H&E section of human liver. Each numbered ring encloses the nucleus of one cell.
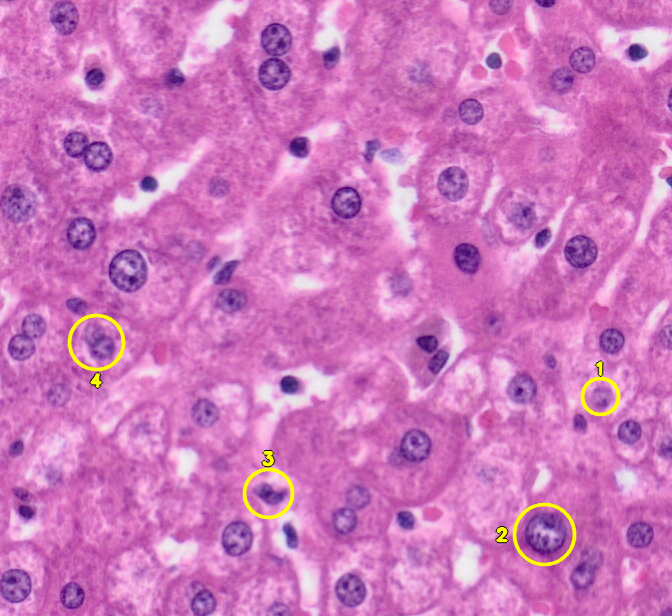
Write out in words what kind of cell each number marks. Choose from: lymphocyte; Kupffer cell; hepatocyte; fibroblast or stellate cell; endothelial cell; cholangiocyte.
Cells 1, 2 and 4 are hepatocytes. Cell 3 is a Kupffer cell.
